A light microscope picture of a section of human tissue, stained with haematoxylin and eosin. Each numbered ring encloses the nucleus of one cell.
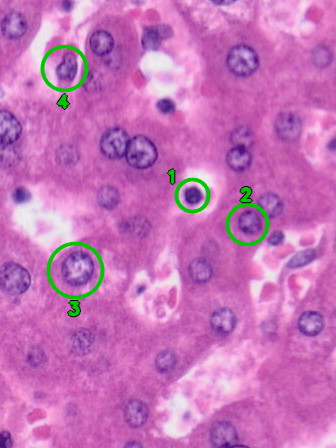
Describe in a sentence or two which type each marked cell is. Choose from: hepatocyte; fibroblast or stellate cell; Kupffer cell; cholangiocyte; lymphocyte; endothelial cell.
Cell 1 is a lymphocyte. Cells 2 and 3 are hepatocytes. Cell 4 is a Kupffer cell.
